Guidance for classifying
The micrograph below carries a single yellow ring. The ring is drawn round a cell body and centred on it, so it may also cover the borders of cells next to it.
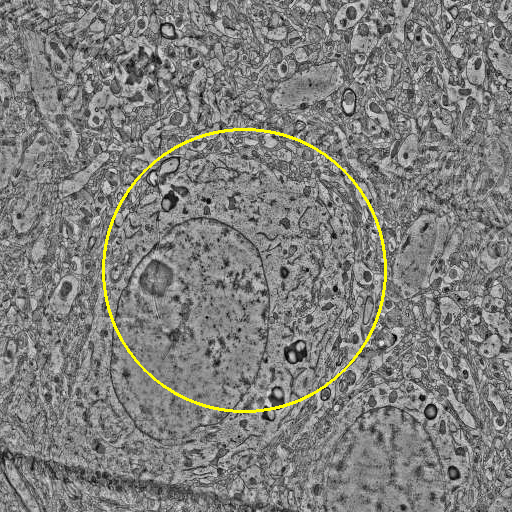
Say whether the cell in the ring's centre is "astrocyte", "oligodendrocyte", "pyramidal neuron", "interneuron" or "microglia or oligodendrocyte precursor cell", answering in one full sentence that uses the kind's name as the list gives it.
Within the yellow ring, a pyramidal neuron is the cell whose body sits at the centre.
